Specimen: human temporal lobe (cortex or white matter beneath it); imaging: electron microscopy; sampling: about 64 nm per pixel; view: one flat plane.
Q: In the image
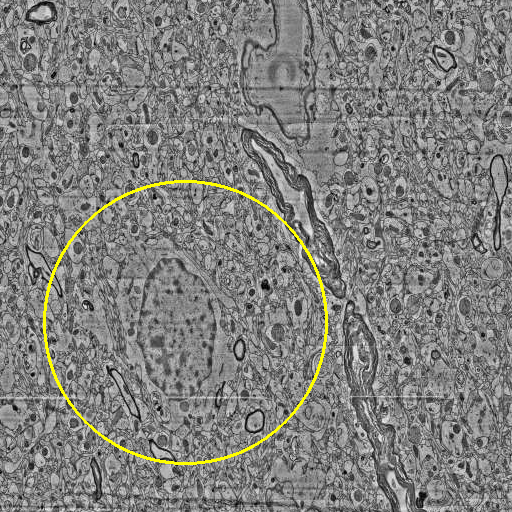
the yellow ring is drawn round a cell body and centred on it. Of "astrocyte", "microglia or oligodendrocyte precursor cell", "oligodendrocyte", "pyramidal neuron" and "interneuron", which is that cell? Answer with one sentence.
The cell centred in the ring is an astrocyte.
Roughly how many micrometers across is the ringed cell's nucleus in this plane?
Approximately 8 by 5 micrometers, which makes the nucleus clearly longer than it is wide in this plane.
